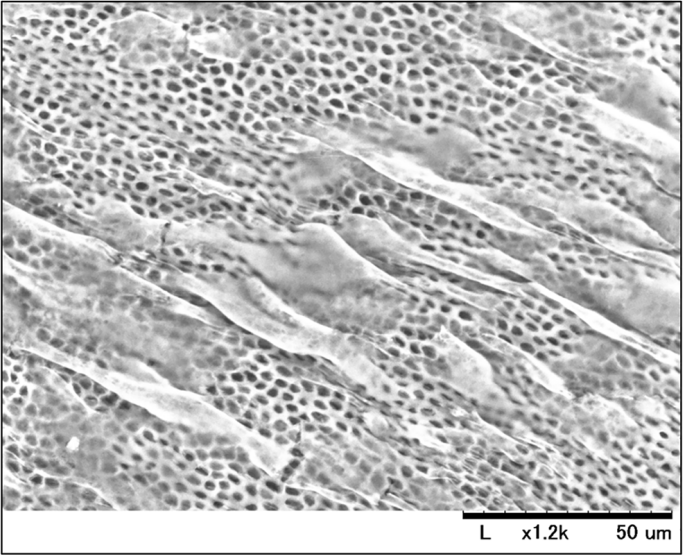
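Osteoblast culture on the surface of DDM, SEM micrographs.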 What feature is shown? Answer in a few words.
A: Dentinal tubes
